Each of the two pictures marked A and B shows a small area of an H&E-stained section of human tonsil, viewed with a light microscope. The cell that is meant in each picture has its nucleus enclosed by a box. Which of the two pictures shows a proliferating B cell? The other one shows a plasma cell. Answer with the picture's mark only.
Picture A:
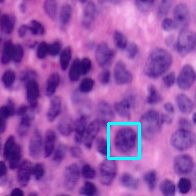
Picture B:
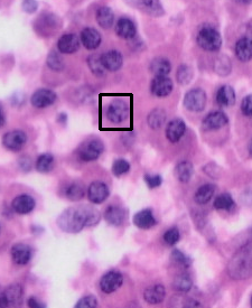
A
